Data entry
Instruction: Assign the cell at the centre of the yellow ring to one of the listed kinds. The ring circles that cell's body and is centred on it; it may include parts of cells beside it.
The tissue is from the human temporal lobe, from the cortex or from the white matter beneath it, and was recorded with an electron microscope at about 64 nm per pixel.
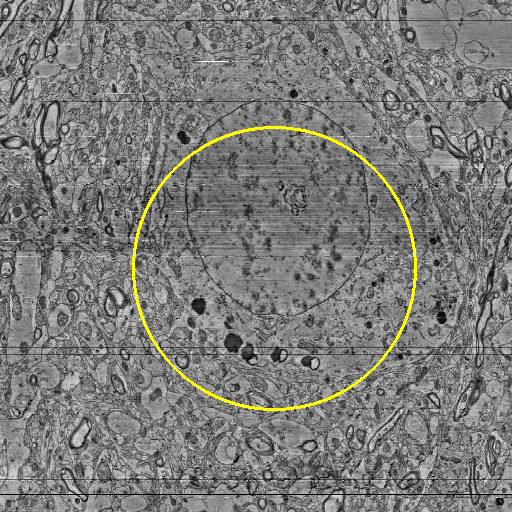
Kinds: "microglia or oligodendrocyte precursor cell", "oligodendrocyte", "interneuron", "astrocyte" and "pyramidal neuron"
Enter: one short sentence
The centre of the ring falls on a pyramidal neuron.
